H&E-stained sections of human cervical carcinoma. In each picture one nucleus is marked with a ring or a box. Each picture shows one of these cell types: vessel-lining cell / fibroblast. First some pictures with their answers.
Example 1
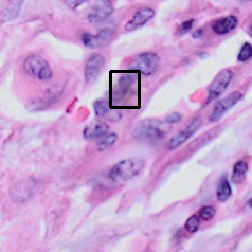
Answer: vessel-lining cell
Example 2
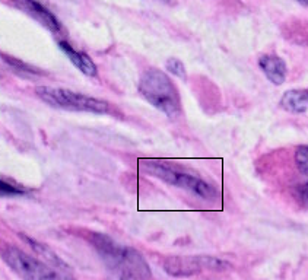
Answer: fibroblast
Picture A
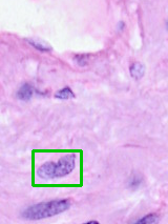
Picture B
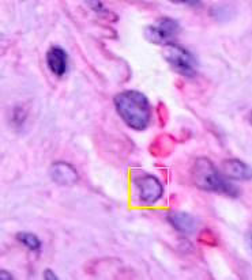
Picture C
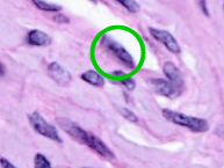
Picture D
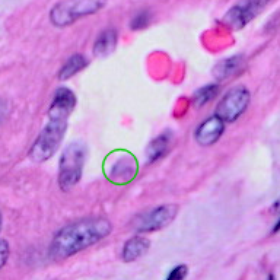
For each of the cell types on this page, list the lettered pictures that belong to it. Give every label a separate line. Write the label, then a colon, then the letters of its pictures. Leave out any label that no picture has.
vessel-lining cell: B, C, D
fibroblast: A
